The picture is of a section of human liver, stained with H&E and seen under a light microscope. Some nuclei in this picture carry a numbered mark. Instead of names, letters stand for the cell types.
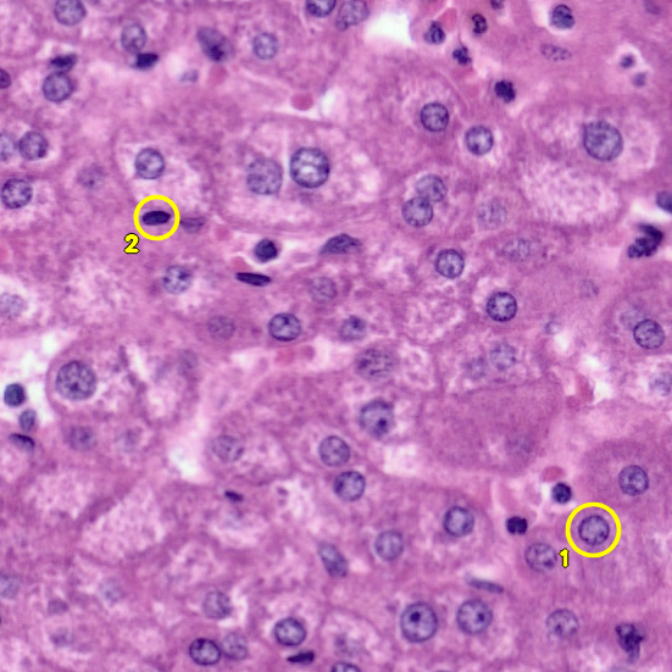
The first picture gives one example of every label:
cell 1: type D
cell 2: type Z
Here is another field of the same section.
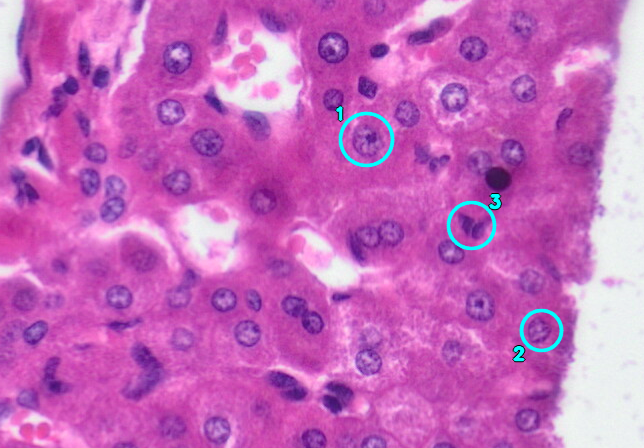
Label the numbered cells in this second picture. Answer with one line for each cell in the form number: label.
1: type D
2: type D
3: type Z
